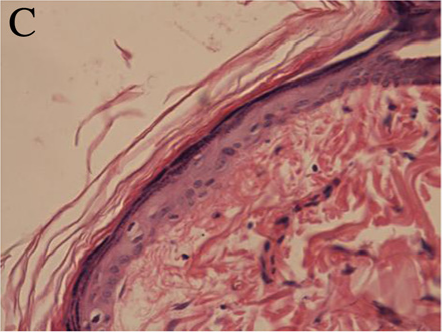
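A strip of skin runs diagonally: on top lie loose wavy pink layers of keratin, beneath them a stratified epidermis of several cell layers whose cells are enlarged and pale with lightly staining cytoplasm and round to oval purple nuclei, some small and dark. Below, the dermis shows pink collagen bundles that are loosened and irregularly arranged with clear spaces between them, and scattered small dark nuclei among the fibres. Compared with a compact thin epidermis and orderly dermis, this looks like injured skin with swollen epidermal cells, shrunken dark nuclei and oedematous, disordered collagen.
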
